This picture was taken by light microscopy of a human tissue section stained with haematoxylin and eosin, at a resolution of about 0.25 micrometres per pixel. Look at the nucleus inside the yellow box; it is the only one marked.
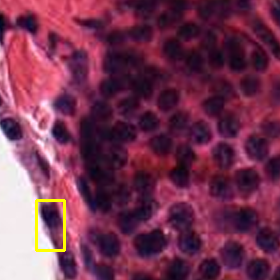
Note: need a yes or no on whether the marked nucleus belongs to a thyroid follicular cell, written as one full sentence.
Yes, the marked nucleus is one belonging to a thyroid follicular cell.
